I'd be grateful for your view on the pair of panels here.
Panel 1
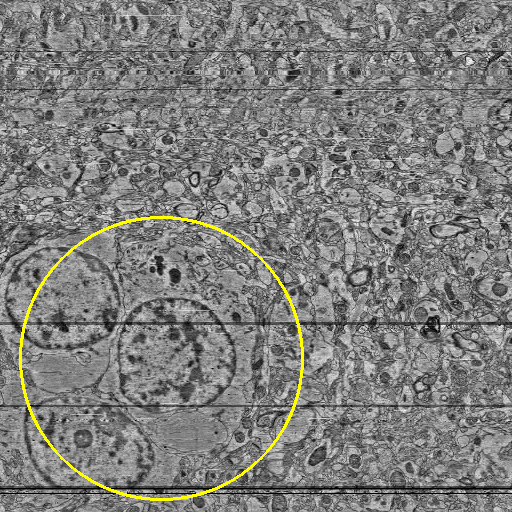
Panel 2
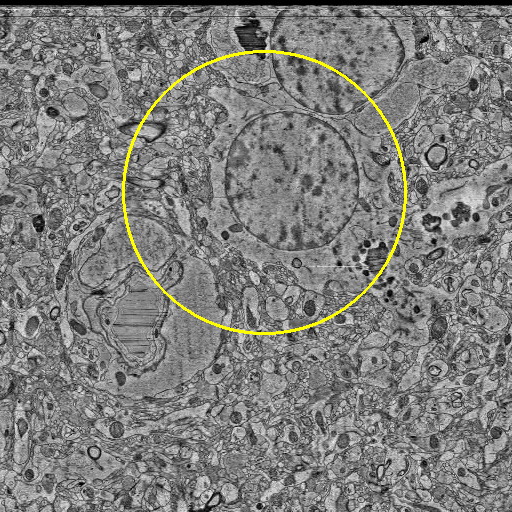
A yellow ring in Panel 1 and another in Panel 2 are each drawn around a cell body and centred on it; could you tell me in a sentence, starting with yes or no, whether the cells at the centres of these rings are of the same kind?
Yes, they are the same kind of cell.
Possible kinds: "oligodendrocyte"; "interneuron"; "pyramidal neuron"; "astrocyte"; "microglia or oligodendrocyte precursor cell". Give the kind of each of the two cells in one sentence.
In each picture the ringed cell is an astrocyte.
